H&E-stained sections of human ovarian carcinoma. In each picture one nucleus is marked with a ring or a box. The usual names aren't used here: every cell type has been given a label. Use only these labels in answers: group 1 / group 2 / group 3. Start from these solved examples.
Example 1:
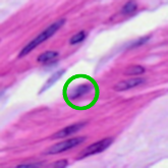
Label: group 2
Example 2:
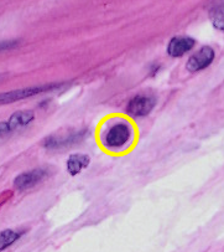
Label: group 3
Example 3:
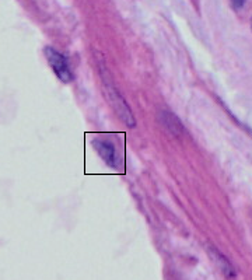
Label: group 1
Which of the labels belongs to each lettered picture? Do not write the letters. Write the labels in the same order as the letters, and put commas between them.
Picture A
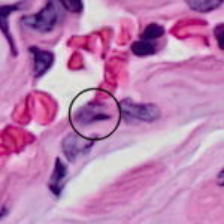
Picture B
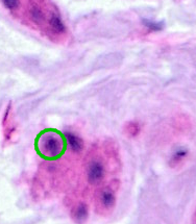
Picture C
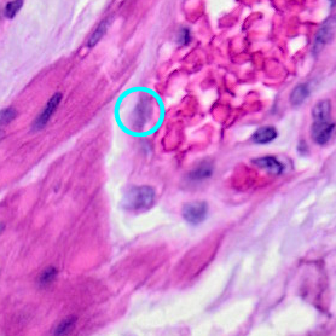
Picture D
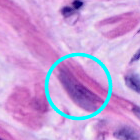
group 1, group 2, group 1, group 2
